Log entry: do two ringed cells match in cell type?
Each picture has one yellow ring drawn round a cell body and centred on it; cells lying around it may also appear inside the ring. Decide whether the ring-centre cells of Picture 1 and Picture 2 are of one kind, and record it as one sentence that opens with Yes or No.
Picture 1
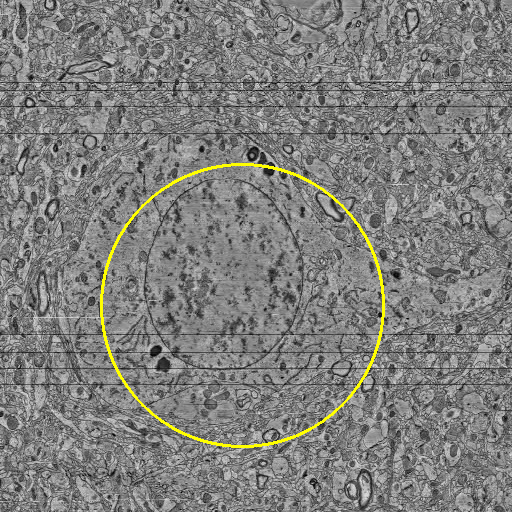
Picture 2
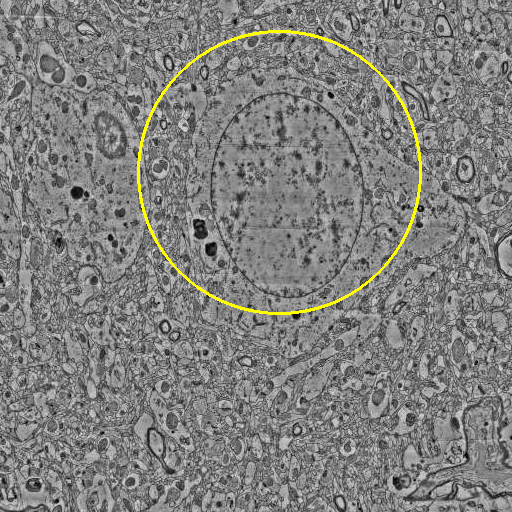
Yes, the cells at the ring centres of the two pictures belong to one kind.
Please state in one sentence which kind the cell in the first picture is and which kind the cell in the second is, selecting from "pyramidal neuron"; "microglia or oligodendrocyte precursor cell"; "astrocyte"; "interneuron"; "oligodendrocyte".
Both pictures show a pyramidal neuron at the centre of the ring.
